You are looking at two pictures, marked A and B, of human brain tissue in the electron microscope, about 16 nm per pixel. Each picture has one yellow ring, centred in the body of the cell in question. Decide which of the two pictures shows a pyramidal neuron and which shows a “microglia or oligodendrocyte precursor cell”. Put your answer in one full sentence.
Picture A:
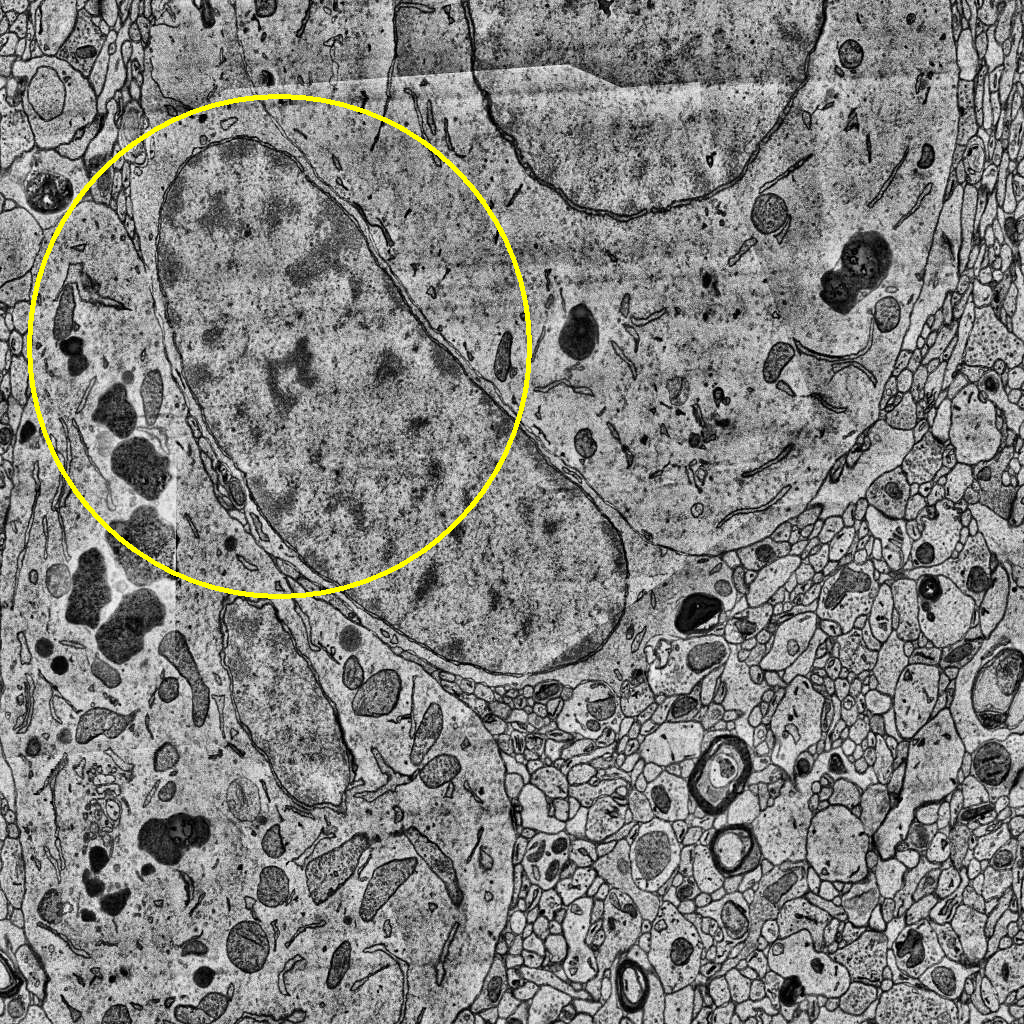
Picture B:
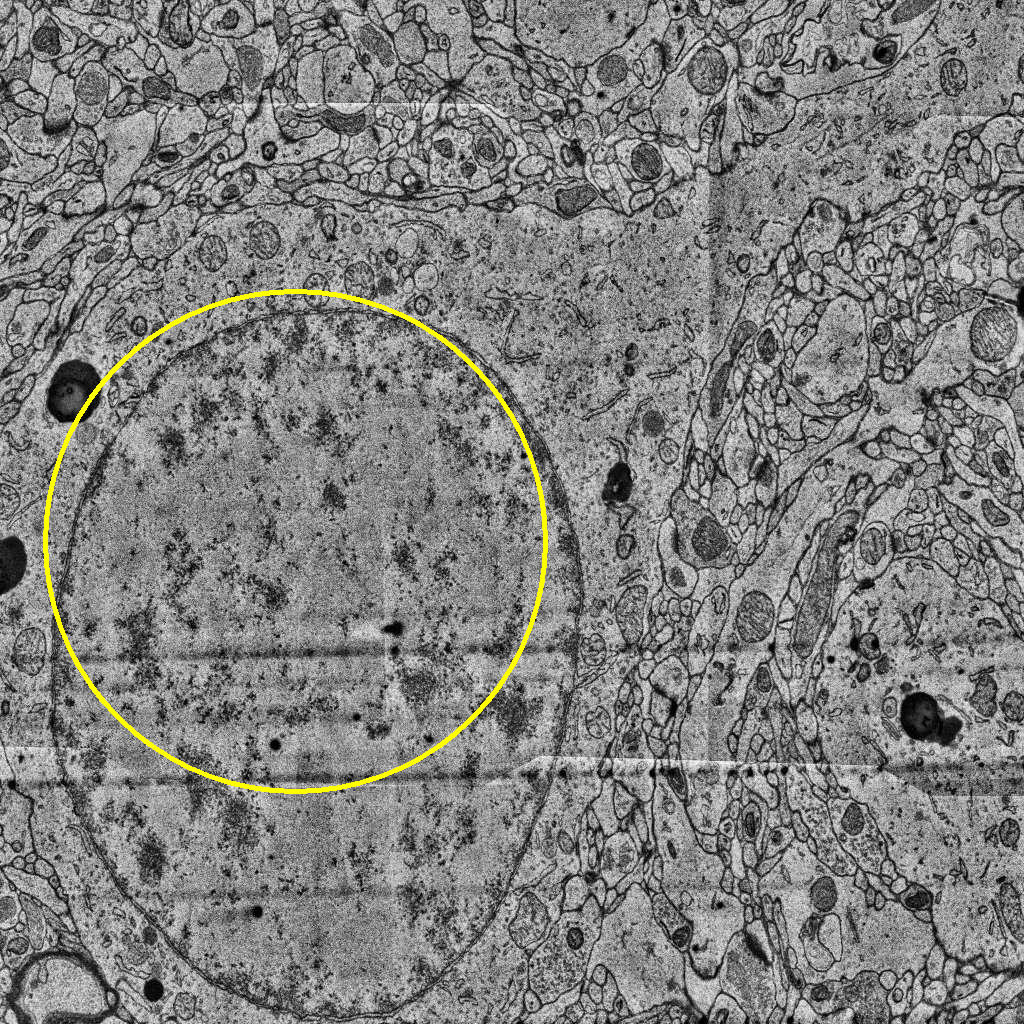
The cell in picture A is a “microglia or oligodendrocyte precursor cell”, and the one in picture B is a pyramidal neuron.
